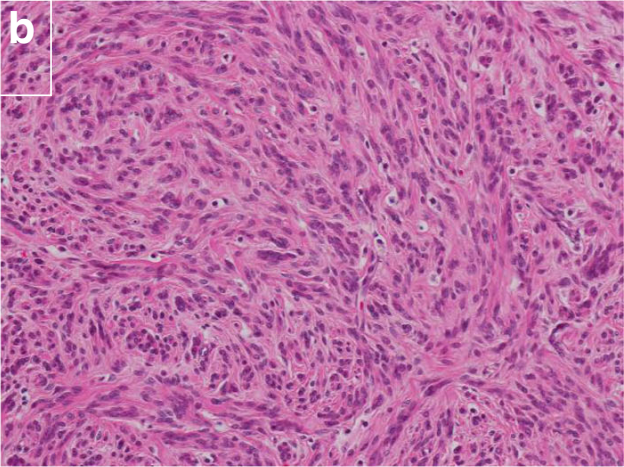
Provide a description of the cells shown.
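Tumor composed of spindle cells resembling smooth muscle cells. Cells lie in densely packed, intersecting fascicles that sweep in different directions, some cut lengthwise and some more obliquely. Nuclei are elongated to oval, dark purple, many with blunt ends; a few are surrounded by small clear perinuclear spaces. Cytoplasm is pink and fibrillar, drawn out into long tapering processes. Between fascicles there is pink collagen-like stroma. No gland structures are seen; the pattern is a uniform cellular spindle-cell proliferation.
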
